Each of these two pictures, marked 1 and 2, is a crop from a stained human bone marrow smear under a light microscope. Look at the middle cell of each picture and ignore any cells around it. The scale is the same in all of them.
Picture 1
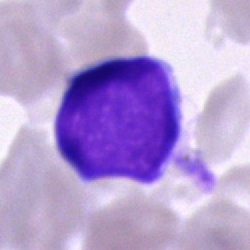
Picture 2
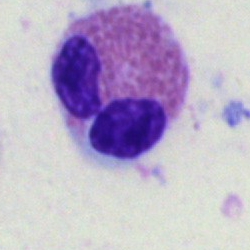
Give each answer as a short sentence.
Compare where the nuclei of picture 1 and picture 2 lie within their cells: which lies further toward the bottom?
Seen within its cell, the nucleus in picture 2 lies further toward the bottom.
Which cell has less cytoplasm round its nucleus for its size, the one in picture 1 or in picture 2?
It is the cell in picture 1 that is filled more by its nucleus.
